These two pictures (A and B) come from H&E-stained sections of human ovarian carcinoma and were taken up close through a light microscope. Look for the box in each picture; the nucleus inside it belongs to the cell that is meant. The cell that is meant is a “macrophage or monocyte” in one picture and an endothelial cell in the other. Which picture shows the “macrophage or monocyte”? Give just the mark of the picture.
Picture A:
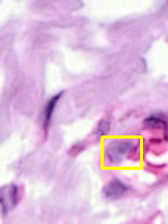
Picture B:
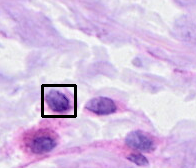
B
